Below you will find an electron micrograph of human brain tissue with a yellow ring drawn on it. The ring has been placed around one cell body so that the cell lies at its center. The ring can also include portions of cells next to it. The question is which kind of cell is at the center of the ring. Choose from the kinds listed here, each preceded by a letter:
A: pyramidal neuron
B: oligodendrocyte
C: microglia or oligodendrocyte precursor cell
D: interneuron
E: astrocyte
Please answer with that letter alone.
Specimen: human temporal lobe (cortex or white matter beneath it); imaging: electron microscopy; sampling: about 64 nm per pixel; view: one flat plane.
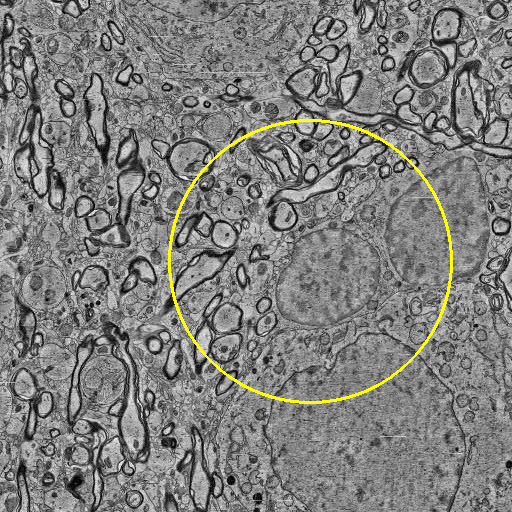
B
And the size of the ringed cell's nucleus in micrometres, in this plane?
The nucleus has a long axis of about 7 micrometres and a short axis of about 6 micrometres in this plane.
